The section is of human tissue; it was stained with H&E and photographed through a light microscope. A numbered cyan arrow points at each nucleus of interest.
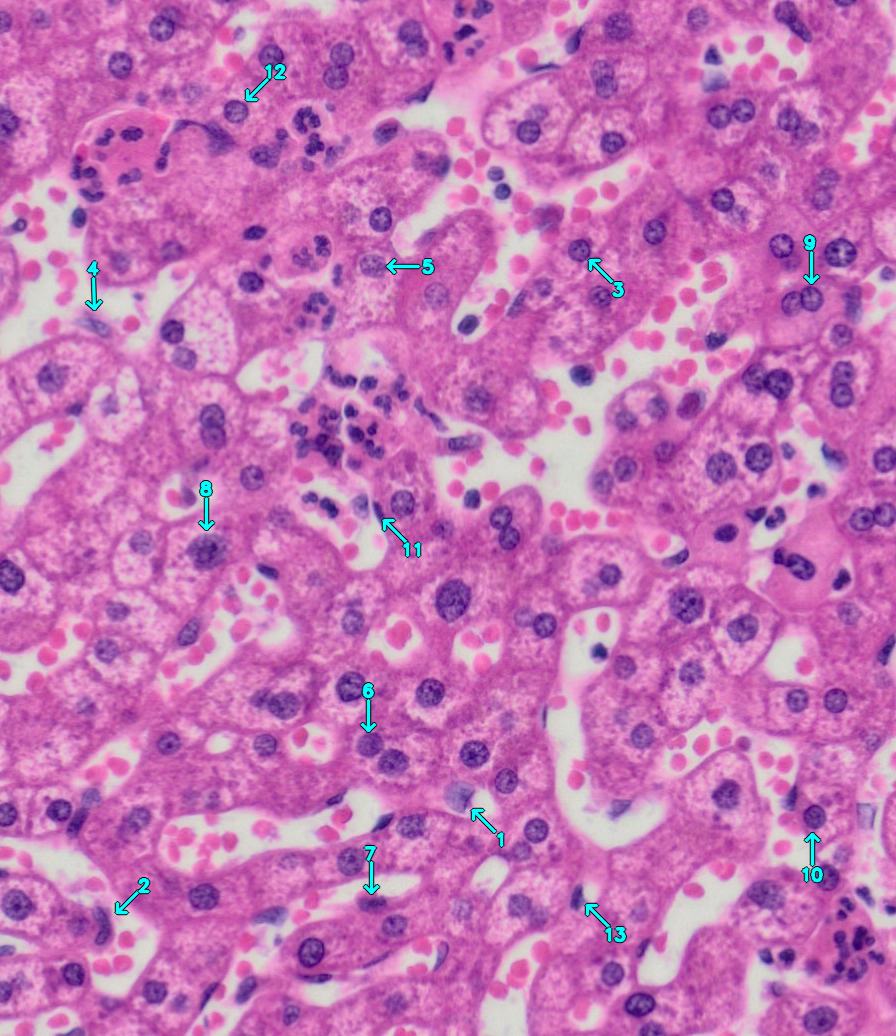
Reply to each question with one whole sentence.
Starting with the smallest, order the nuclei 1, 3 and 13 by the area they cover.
Smallest first, the nuclei run 13, 3, 1.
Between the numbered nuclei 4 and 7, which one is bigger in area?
It is nucleus 4, which covers about 1.5 times the area of nucleus 7.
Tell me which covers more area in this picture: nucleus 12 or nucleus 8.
At about 2.5 times the area of nucleus 12, nucleus 8 is the larger of the two.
